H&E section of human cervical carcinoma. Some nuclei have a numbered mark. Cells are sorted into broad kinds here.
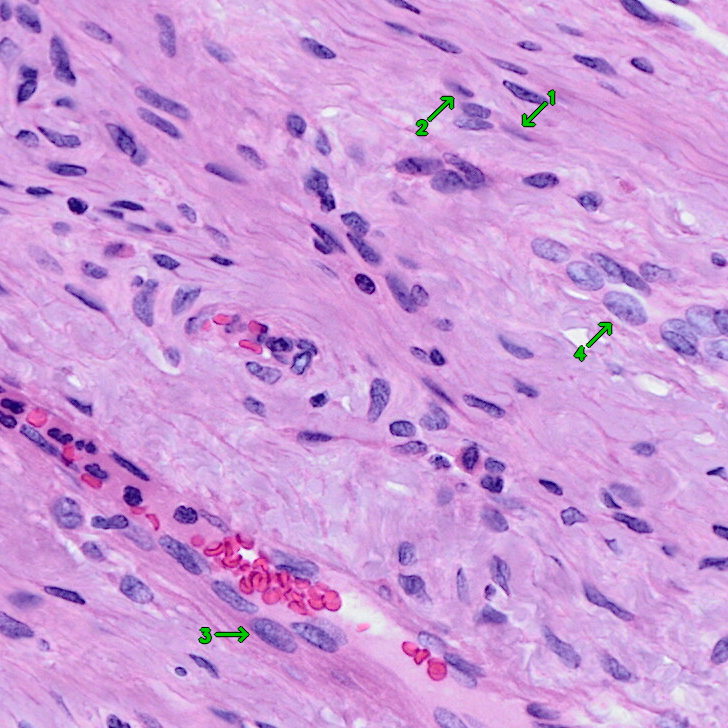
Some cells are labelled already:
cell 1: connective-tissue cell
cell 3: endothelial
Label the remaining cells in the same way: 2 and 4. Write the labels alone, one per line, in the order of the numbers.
connective-tissue cell
endothelial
